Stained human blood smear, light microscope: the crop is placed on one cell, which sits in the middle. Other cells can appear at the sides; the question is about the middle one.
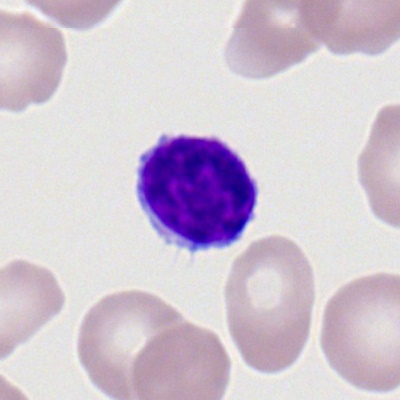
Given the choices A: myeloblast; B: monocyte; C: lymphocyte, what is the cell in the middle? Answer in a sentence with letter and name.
That middle cell is a lymphocyte, and option C is therefore correct.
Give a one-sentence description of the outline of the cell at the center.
A ragged or projecting edge replaces the smooth outline in this cell.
